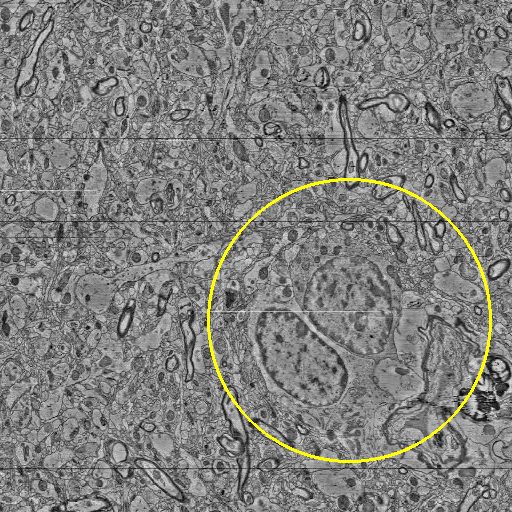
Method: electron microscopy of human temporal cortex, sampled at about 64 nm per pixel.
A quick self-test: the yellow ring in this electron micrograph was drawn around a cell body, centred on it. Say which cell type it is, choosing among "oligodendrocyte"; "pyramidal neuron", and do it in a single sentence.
The yellow-ringed cell is an oligodendrocyte.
